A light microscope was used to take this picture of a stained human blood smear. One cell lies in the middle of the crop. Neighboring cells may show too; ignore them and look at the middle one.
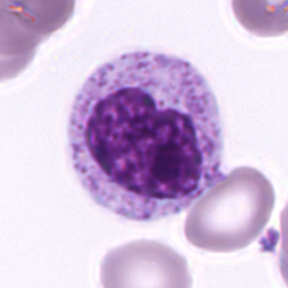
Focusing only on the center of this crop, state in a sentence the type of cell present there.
The middle cell in this particular crop is a metamyelocyte.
